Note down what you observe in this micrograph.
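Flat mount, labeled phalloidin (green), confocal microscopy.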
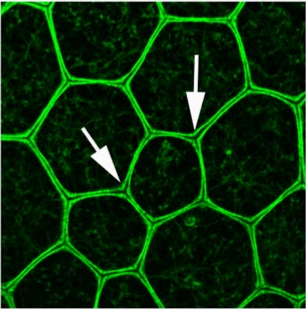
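The border bands look thick and in many places appear as two parallel lines rather than one. Fine, faint green threads and dots are scattered across the cell interiors. Nuclei are not shown.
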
